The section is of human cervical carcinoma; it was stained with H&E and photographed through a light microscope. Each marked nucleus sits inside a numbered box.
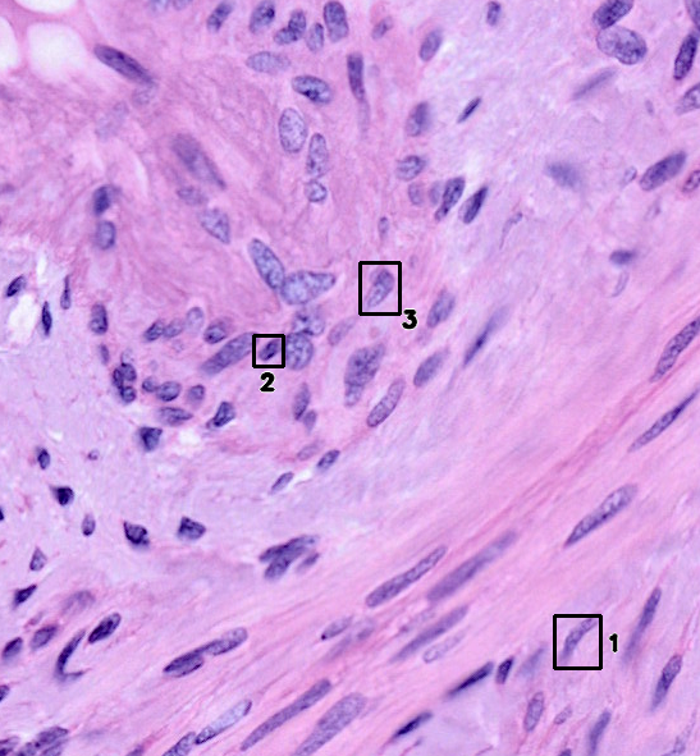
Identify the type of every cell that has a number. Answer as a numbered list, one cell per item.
1. fibroblast
2. smooth muscle cell
3. smooth muscle cell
